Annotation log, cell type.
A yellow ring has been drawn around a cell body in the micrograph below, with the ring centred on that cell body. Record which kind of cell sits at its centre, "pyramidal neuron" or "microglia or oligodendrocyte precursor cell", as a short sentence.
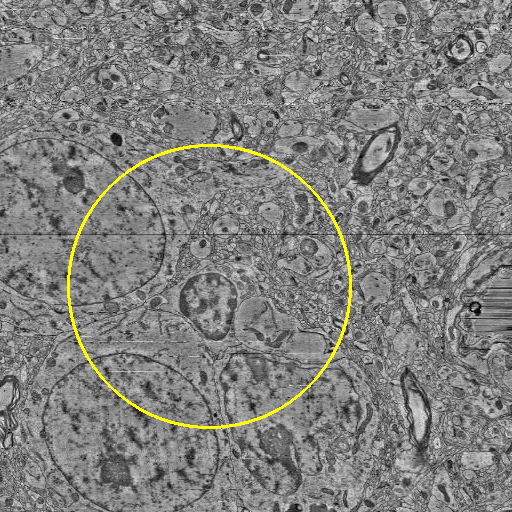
The cell at the centre of this ring is a microglial cell or oligodendrocyte precursor cell.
